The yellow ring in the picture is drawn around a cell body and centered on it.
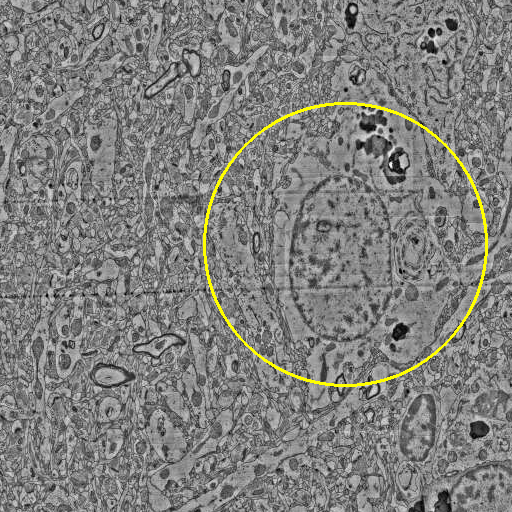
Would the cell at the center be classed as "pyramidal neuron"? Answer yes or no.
No, it belongs to another class.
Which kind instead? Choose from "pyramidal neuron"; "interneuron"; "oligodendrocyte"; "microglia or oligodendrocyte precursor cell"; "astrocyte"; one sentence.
As it turns out, the cell at the ring centre is an astrocyte.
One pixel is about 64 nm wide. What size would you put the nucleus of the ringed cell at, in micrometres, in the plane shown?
About 10 by 8 micrometres in this plane.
